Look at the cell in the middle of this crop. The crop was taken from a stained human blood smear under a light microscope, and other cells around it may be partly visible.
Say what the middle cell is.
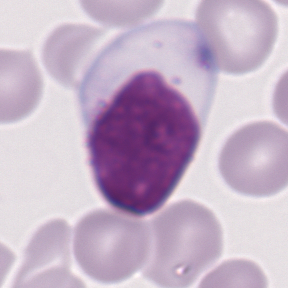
large granular lymphocyte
